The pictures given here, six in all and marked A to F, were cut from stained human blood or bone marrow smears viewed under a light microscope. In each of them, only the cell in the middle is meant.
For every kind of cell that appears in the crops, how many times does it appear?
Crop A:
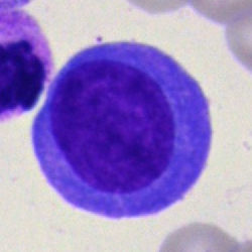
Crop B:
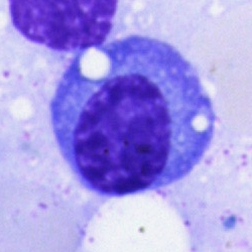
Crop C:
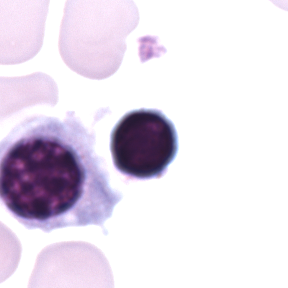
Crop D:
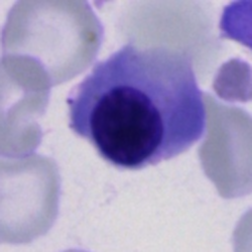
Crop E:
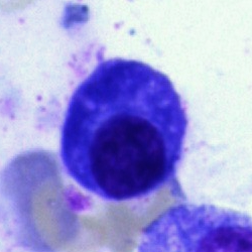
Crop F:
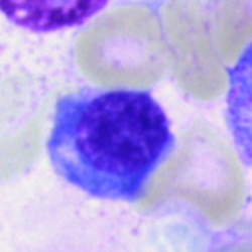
plasma cell: 3
erythroblast: 3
